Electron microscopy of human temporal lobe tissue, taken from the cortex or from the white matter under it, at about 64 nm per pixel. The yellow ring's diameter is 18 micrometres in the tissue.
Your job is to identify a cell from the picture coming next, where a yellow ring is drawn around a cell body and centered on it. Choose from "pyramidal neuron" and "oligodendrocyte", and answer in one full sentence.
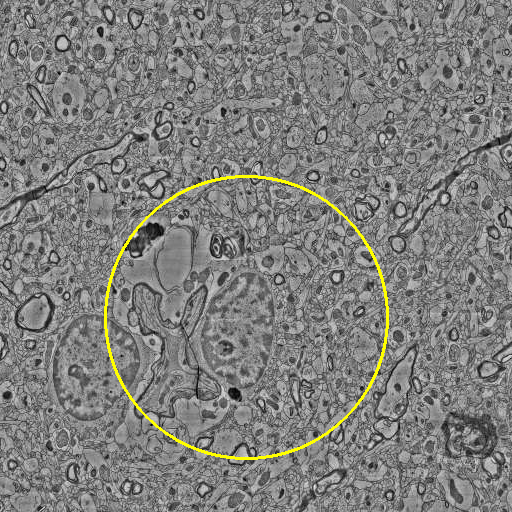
Centered in the yellow ring of the picture is the body of an oligodendrocyte.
